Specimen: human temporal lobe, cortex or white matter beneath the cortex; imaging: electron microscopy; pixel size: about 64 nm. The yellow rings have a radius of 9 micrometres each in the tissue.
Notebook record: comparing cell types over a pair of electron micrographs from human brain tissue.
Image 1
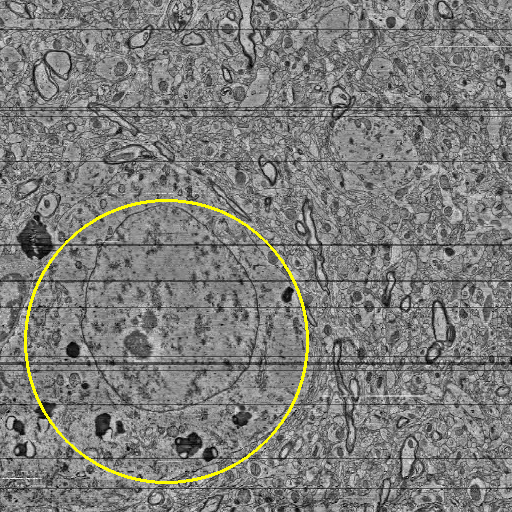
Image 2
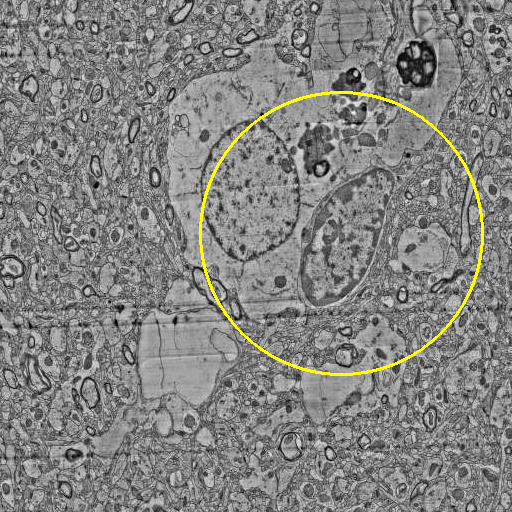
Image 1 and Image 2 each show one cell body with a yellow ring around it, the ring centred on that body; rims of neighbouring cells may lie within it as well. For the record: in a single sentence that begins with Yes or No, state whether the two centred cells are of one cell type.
No, two cell types are found among the centred cells of Image 1 and Image 2.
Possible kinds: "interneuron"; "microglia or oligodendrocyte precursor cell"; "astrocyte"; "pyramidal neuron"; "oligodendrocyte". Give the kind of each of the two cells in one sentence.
The cell in the second picture is a microglial cell or oligodendrocyte precursor cell, and that in the first is a pyramidal neuron.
